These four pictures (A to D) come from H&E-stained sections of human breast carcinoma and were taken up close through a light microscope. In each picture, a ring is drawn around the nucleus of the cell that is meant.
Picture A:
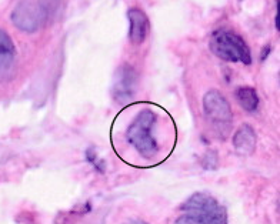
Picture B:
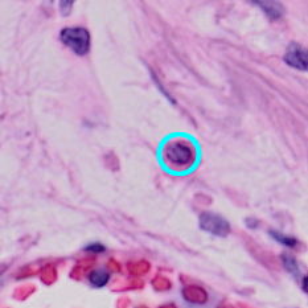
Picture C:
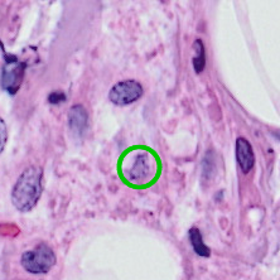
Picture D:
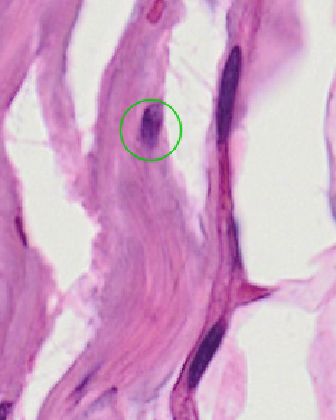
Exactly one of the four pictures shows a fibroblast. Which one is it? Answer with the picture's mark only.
D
